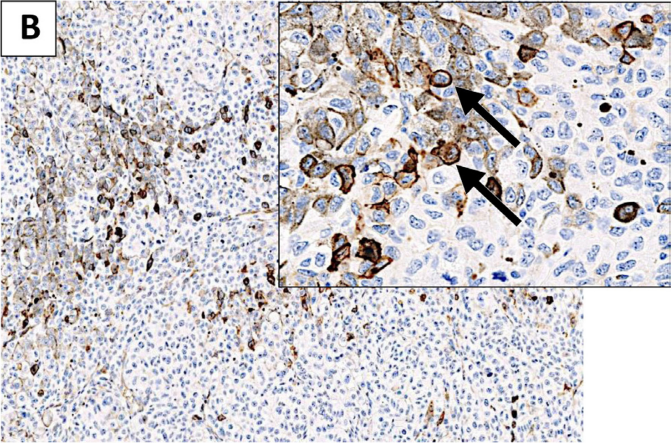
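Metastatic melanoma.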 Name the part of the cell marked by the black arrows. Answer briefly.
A: Membrane pattern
